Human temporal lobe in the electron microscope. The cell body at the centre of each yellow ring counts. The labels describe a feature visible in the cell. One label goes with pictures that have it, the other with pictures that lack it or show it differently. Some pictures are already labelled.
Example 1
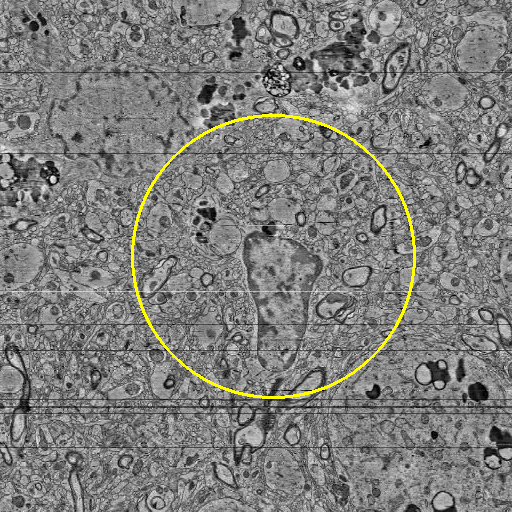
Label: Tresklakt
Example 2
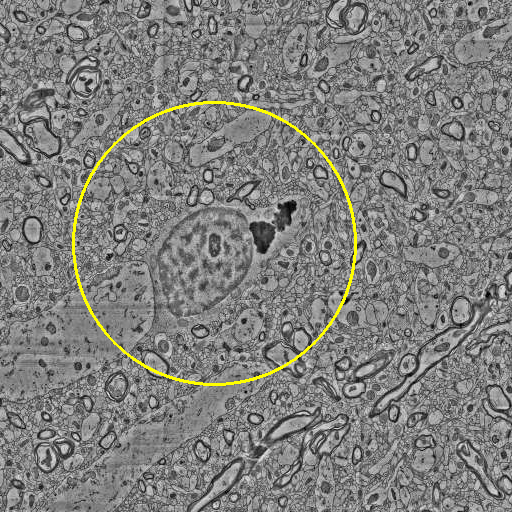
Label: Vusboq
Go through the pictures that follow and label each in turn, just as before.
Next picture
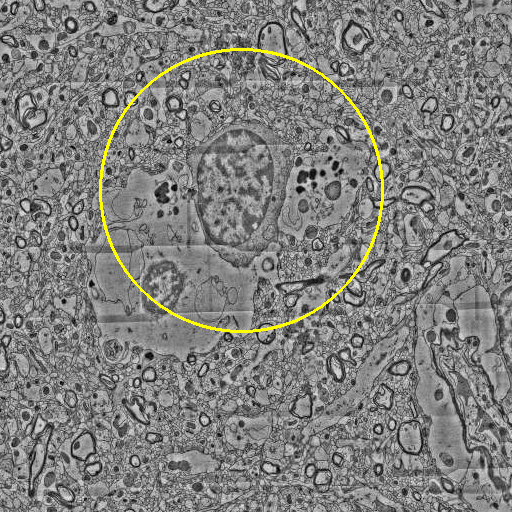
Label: Tresklakt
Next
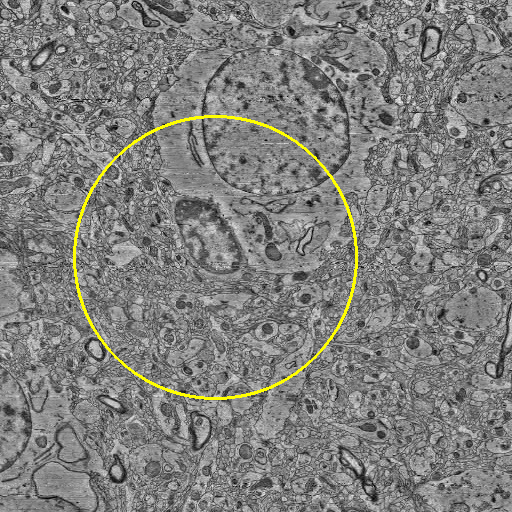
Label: Tresklakt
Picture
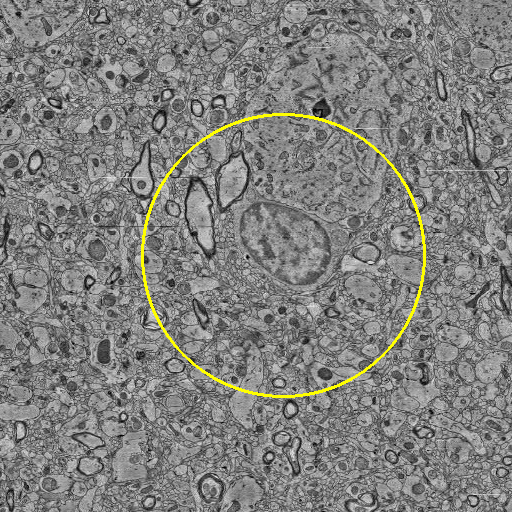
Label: Tresklakt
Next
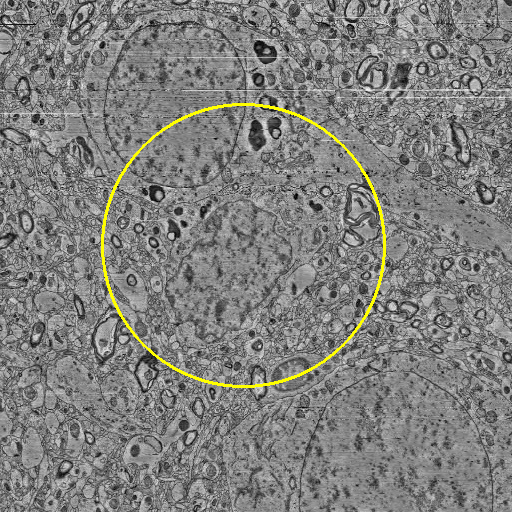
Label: Tresklakt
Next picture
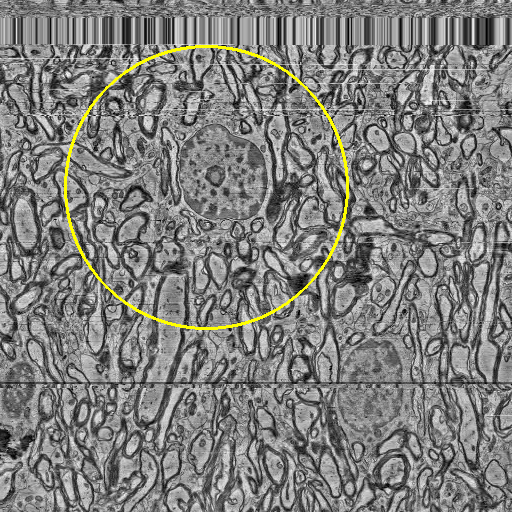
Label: Vusboq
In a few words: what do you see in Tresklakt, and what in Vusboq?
Tresklakt, no nucleolus seen; Vusboq, nucleolus seen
